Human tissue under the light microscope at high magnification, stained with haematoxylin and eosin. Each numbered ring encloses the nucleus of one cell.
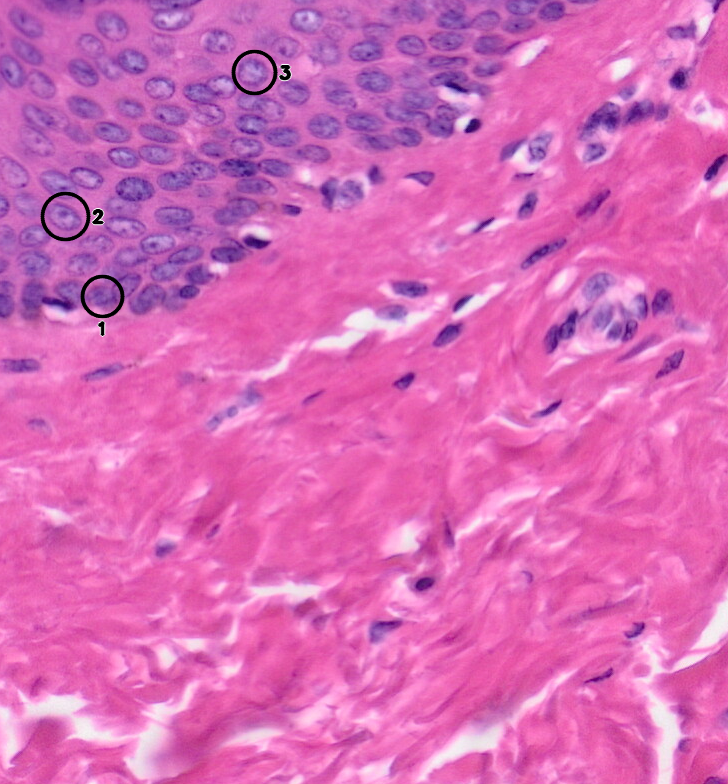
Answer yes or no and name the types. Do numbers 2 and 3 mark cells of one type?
Yes, both are suprabasal keratinocytes.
